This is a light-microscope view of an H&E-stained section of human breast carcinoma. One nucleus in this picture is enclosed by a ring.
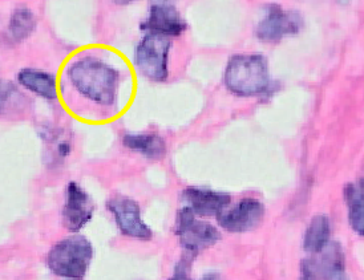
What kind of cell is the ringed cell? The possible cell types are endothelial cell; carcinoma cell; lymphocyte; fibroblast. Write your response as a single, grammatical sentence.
It is as a carcinoma cell that the ringed cell is classified.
